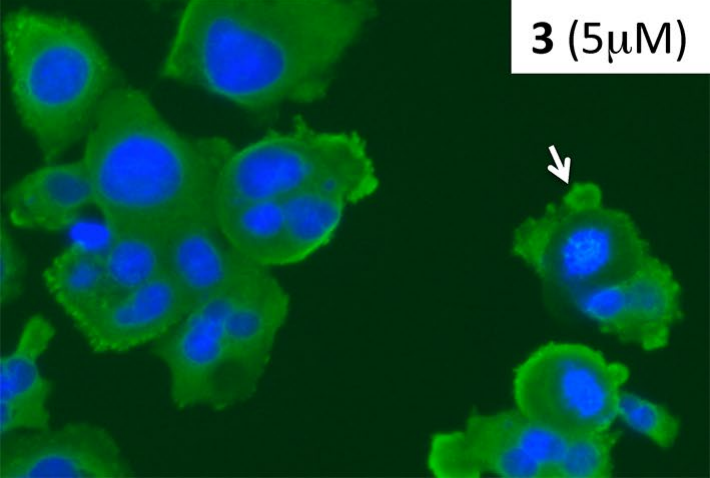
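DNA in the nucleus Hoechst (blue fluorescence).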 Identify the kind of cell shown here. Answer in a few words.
Multi-nucleated cells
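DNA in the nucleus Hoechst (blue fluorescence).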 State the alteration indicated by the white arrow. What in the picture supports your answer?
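The arrow points to a small rounded protrusion at the edge of a cell. The bulge sits on the cell outline, beyond the main cell body.
Answer: membrane blebbing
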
